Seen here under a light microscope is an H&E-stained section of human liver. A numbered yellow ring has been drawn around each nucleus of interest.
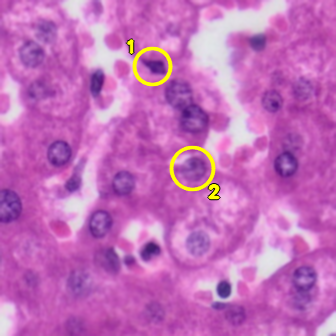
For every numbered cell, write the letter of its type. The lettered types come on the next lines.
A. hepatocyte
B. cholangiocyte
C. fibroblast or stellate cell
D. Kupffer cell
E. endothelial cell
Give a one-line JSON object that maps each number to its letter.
{"1": "C", "2": "A"}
